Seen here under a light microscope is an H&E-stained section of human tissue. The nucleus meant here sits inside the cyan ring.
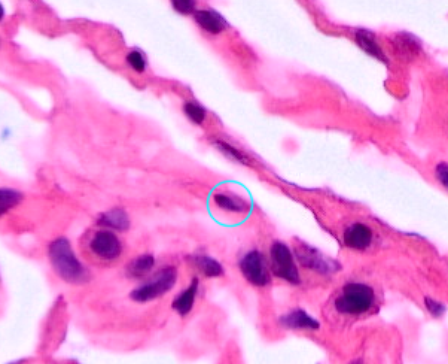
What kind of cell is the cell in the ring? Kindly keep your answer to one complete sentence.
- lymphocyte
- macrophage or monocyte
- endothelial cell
As for its identity, the cell in the ring is an endothelial cell.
